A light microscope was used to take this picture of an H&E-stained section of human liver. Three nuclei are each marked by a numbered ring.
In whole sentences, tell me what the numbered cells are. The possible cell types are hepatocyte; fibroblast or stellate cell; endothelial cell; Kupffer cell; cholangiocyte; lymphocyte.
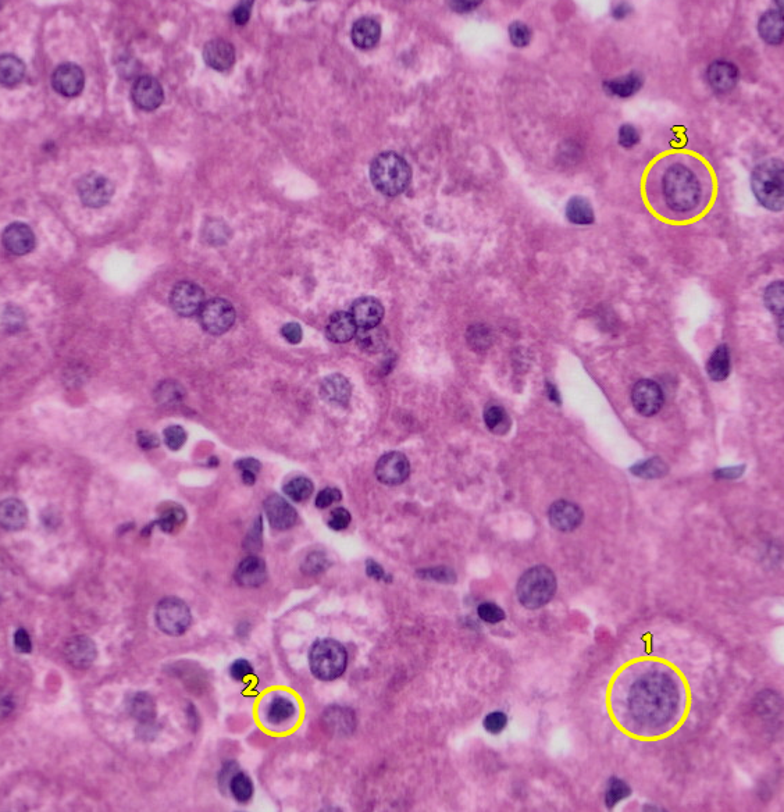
Cells 1 and 3 are hepatocytes. Cell 2 is a lymphocyte.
